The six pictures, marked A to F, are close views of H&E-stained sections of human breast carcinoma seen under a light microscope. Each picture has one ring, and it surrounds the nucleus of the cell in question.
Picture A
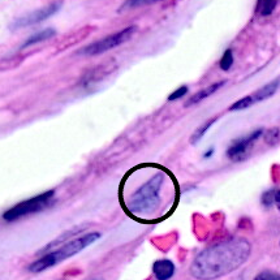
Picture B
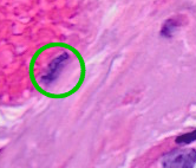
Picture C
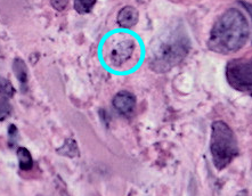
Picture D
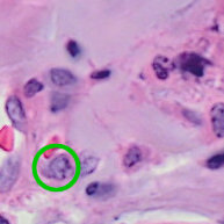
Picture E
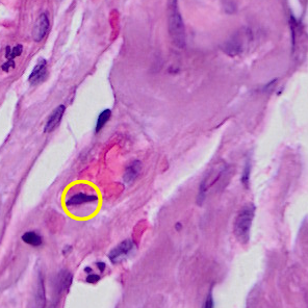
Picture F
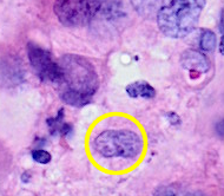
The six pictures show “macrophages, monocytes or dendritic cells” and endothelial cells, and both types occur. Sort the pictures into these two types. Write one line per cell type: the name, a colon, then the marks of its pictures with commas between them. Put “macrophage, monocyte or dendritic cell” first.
macrophage, monocyte or dendritic cell: C, F
endothelial cell: A, B, D, E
